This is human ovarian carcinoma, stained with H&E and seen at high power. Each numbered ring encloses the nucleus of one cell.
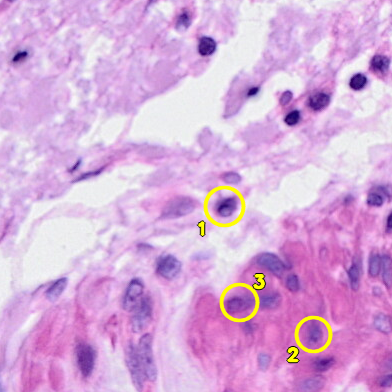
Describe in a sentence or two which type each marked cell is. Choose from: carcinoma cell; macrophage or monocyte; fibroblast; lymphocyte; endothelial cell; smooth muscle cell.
Cell 1 is a macrophage or monocyte, cell 2 is a smooth muscle cell and cell 3 is a smooth muscle cell.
